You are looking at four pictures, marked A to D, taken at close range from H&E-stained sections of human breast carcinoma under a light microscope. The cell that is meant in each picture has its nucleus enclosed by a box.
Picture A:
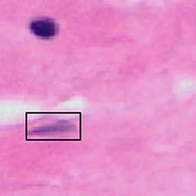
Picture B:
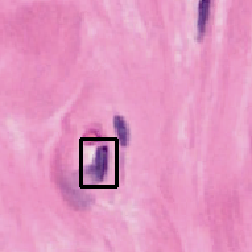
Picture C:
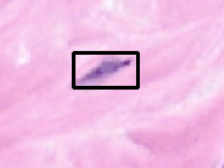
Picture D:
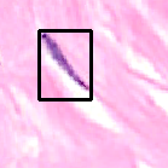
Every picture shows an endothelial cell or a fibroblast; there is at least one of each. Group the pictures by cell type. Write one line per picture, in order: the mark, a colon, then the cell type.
A: fibroblast
B: endothelial cell
C: fibroblast
D: fibroblast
